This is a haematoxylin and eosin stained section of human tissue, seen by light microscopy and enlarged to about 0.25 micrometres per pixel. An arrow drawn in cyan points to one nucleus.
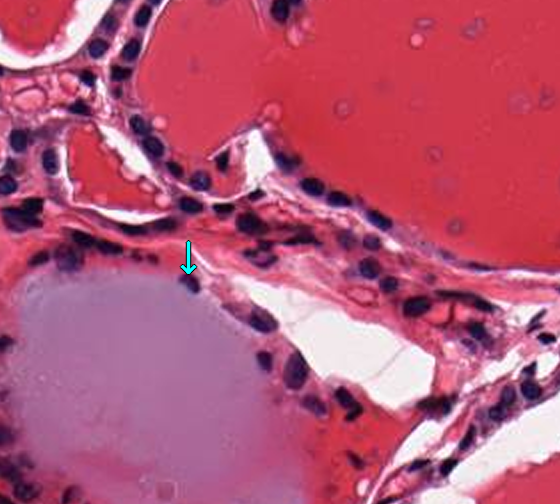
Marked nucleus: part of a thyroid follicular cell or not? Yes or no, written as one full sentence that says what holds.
Yes, it is a thyroid follicular cell that holds the marked nucleus.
